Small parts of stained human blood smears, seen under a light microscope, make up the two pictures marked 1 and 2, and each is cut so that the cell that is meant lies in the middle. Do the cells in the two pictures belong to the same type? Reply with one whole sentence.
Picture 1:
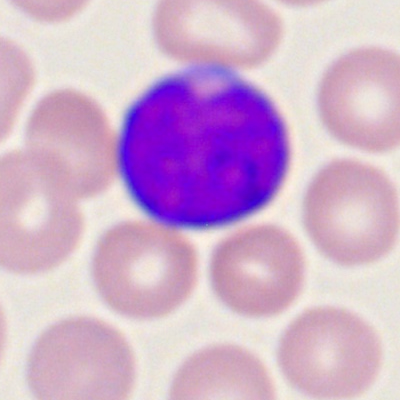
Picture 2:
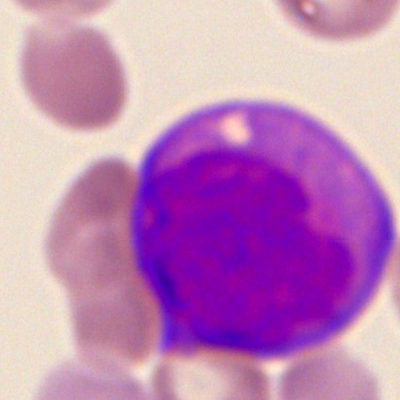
Yes, both cells are myeloblasts.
